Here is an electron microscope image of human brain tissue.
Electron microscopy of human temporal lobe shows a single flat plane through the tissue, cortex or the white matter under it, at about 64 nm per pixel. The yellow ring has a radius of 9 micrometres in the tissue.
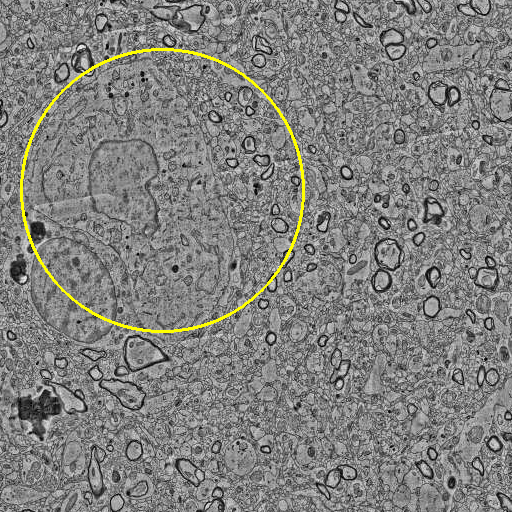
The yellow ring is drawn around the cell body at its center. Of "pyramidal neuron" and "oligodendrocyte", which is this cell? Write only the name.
oligodendrocyte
